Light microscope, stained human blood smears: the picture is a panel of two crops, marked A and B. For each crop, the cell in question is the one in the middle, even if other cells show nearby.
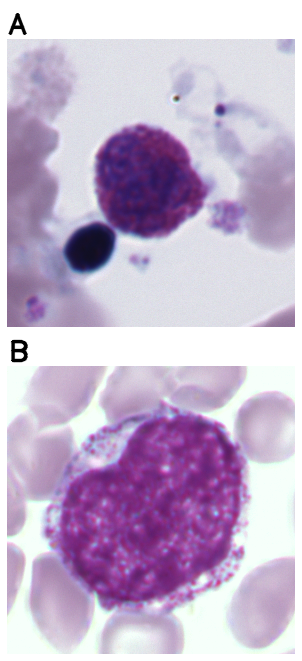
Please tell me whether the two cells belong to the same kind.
no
